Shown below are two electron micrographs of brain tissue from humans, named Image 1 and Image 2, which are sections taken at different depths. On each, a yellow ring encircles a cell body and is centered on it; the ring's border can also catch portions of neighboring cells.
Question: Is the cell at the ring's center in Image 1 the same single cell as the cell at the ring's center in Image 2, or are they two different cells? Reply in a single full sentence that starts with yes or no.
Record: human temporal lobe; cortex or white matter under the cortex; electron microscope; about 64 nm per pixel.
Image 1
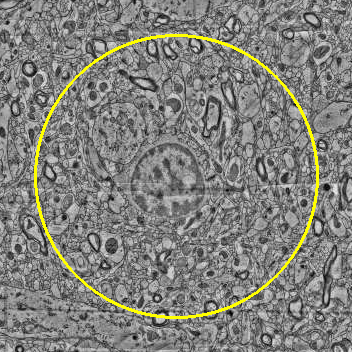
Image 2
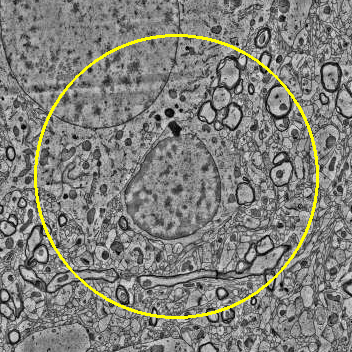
No, the two rings are drawn around two distinct cells.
